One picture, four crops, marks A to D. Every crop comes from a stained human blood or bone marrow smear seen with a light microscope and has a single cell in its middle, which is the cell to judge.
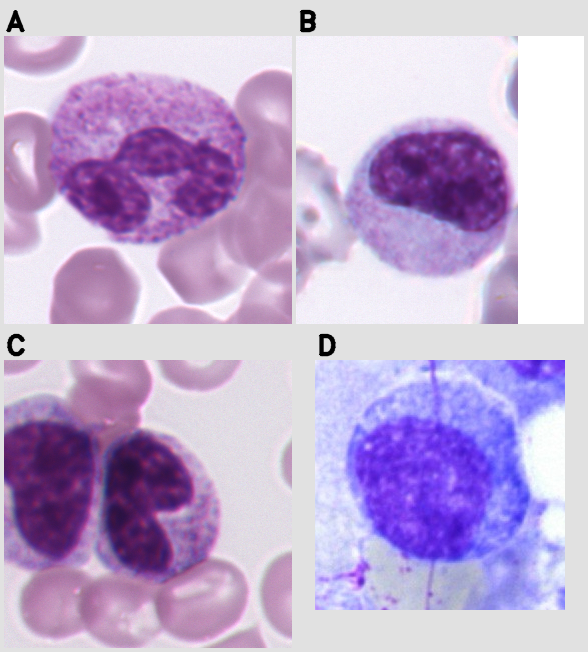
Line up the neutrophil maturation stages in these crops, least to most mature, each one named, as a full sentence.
The order of maturity, beginning with the least mature, is crop D (a promyelocyte), crop B (a metamyelocyte), crop C (a band neutrophil) and crop A (a segmented neutrophil).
